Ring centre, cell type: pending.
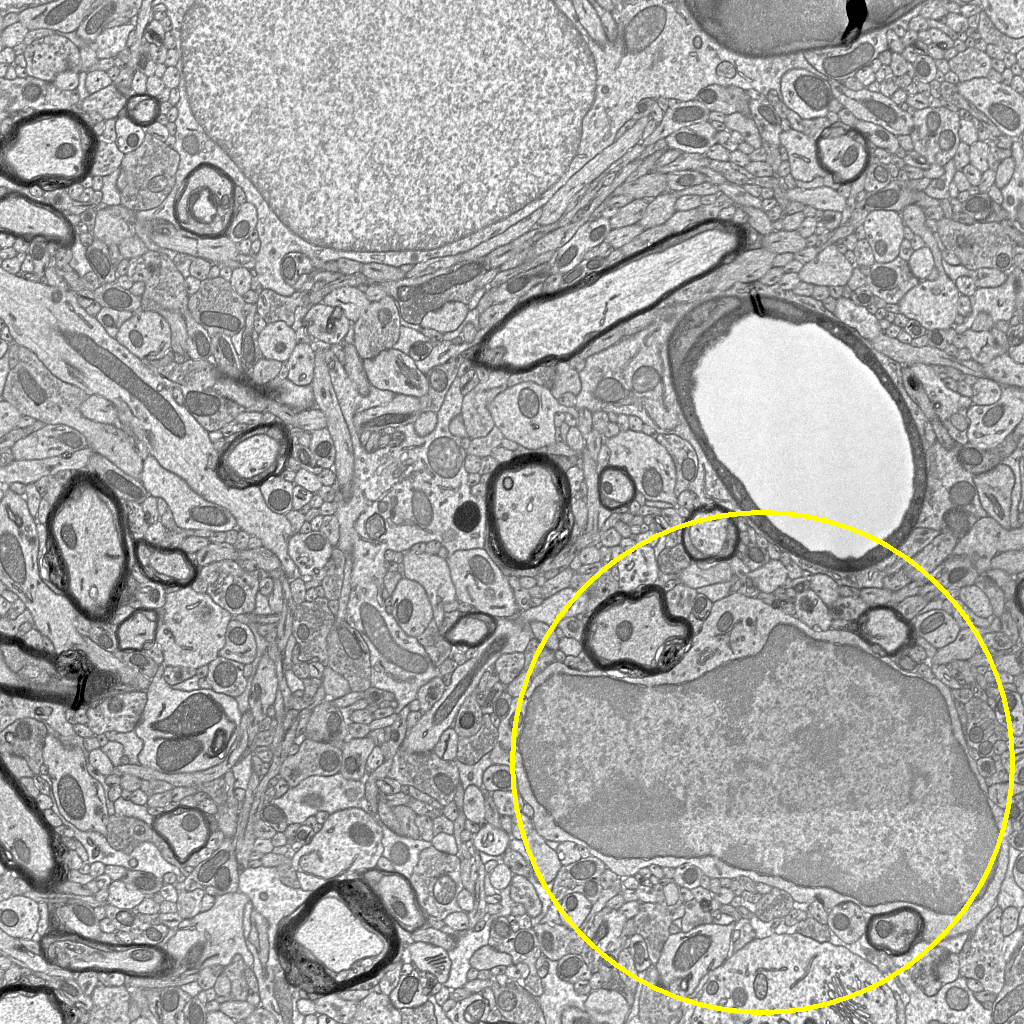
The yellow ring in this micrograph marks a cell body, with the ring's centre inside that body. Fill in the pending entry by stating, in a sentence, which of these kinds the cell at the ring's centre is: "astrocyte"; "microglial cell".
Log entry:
The cell at the ring's centre is recorded as a microglial cell.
